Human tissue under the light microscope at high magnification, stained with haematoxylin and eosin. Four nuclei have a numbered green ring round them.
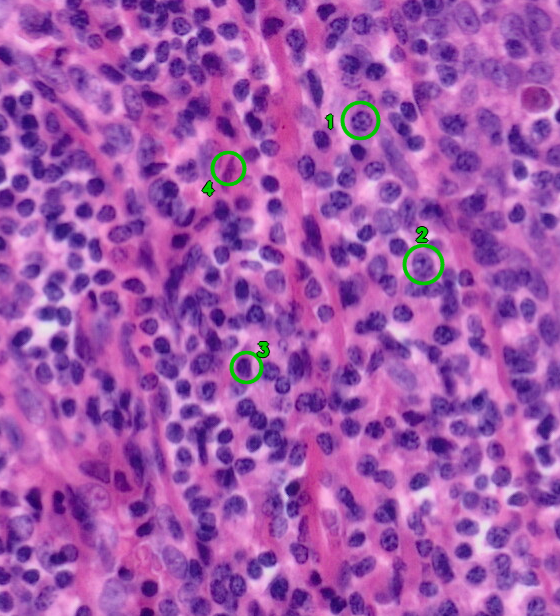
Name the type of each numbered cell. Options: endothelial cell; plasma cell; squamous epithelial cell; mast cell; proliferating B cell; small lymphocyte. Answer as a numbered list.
1. plasma cell
2. plasma cell
3. plasma cell
4. endothelial cell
